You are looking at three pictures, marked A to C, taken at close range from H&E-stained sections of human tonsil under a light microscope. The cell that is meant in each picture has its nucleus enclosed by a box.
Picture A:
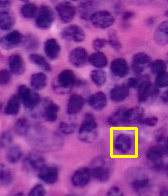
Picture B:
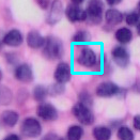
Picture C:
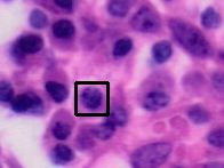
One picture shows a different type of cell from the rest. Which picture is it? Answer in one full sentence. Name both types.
All pictures except B show plasma cells; picture B shows a small lymphocyte.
